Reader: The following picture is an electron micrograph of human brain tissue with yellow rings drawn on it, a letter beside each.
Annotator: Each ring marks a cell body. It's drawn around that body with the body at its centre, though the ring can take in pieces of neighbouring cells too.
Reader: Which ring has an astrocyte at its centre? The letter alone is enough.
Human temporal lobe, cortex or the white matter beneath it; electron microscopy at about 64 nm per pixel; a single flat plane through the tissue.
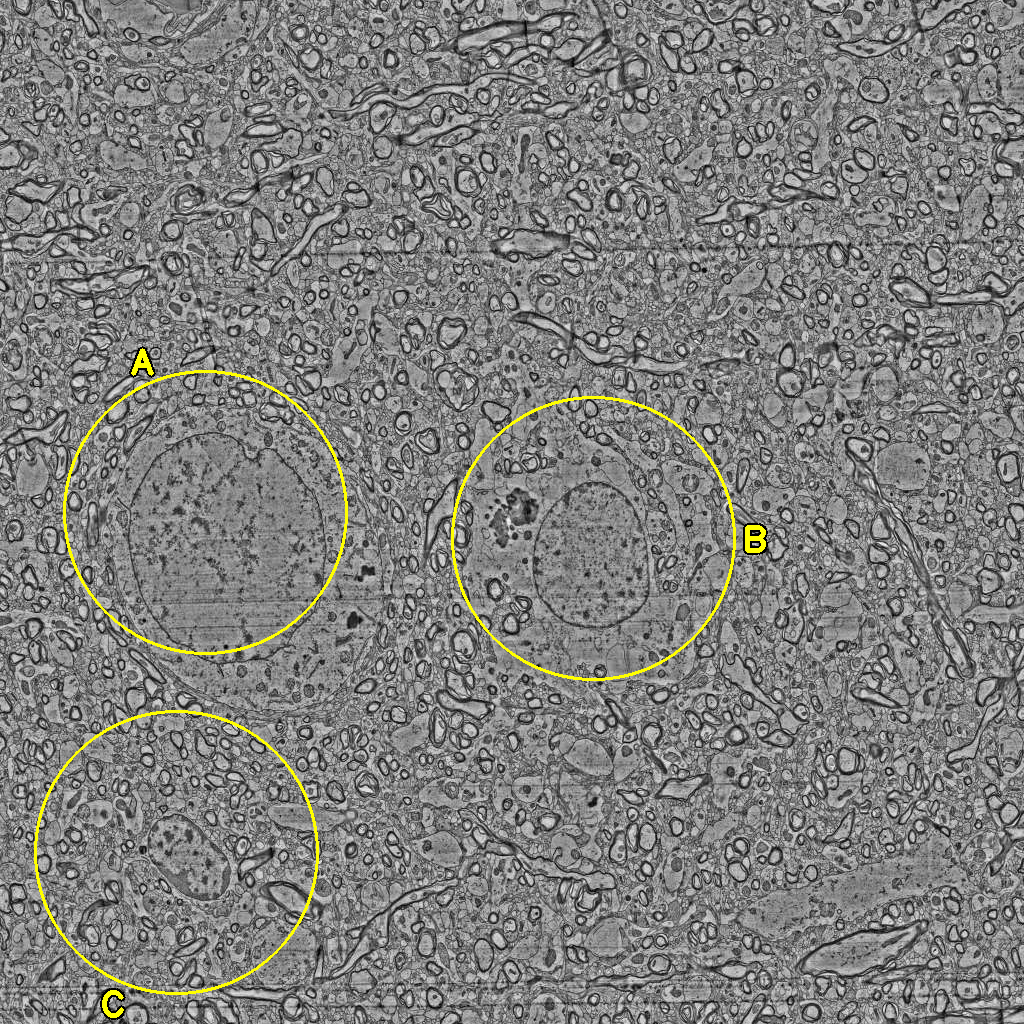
B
